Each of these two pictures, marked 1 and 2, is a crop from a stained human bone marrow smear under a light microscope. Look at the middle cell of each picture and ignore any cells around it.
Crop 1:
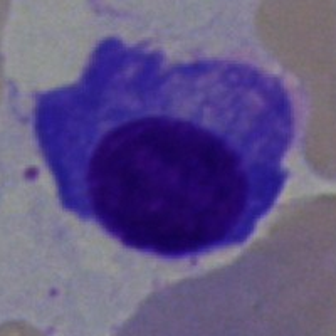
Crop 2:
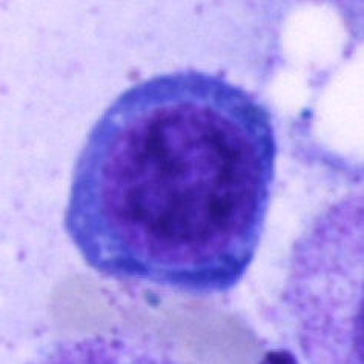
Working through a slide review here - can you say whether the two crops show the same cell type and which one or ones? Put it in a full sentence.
No, crop 1 carries a plasma cell and crop 2 carries an erythroblast.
